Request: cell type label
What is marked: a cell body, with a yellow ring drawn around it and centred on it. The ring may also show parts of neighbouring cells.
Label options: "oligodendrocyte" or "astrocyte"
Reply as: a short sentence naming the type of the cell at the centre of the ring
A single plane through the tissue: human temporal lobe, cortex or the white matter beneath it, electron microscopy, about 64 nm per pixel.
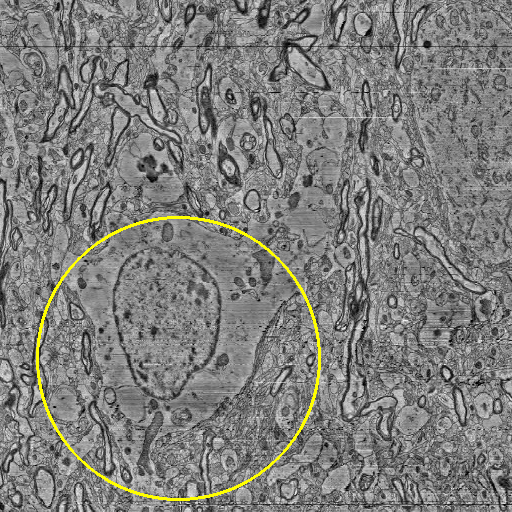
The marked cell body is that of an astrocyte.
